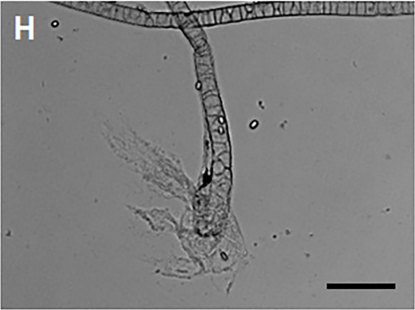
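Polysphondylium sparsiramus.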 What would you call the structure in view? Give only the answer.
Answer: Sorophore base.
